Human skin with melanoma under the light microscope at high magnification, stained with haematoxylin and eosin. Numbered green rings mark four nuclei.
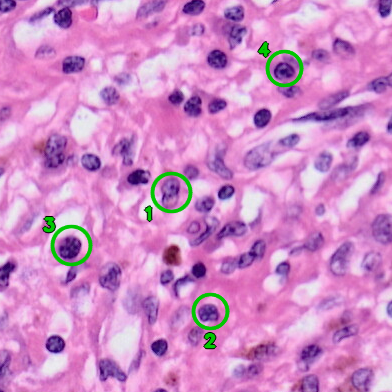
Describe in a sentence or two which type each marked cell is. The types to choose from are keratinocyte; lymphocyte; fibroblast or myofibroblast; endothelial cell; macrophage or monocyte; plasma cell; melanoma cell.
Cell 1 is a macrophage or monocyte. Cell 2 is a lymphocyte. Cells 3 and 4 are plasma cells.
